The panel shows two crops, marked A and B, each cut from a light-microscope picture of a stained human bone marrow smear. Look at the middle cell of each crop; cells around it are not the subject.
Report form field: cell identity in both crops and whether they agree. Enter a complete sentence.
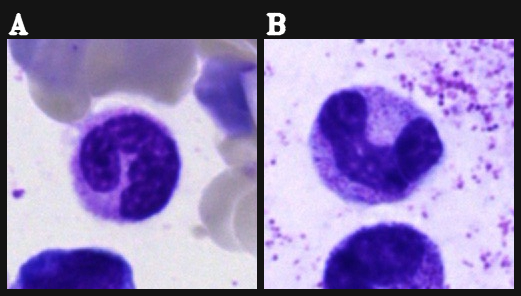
Yes, both crops show band neutrophils, with no exception.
